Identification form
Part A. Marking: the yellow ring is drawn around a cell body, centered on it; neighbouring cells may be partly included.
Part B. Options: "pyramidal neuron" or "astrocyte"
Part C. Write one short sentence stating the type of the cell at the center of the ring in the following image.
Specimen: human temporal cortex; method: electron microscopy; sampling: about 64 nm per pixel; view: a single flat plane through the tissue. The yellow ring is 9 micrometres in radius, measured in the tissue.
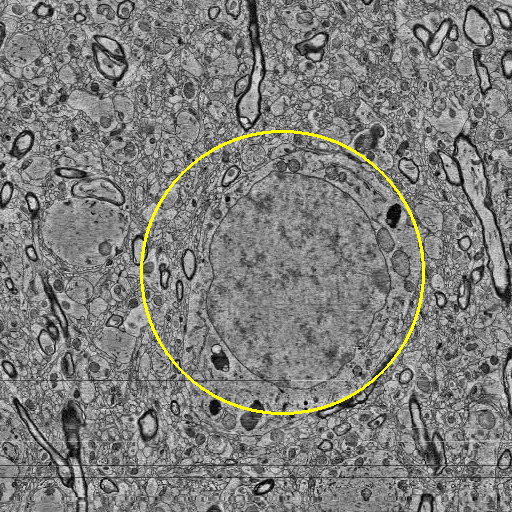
The center of the ring holds a pyramidal neuron.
